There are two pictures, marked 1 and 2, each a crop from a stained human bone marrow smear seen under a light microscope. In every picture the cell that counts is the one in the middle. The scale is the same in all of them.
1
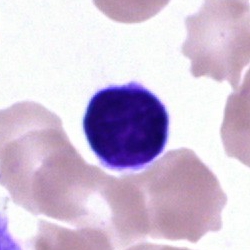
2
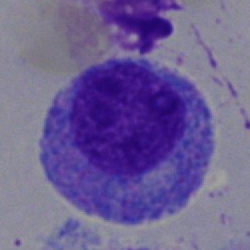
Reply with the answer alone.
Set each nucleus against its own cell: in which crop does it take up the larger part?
1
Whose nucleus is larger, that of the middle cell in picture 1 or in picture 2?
2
